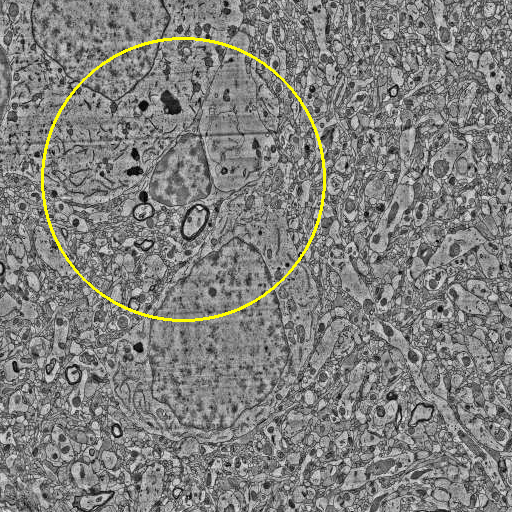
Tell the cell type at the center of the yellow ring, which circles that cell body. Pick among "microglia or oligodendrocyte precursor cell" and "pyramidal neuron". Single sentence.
The ring is centered on the body of a microglial cell or oligodendrocyte precursor cell.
